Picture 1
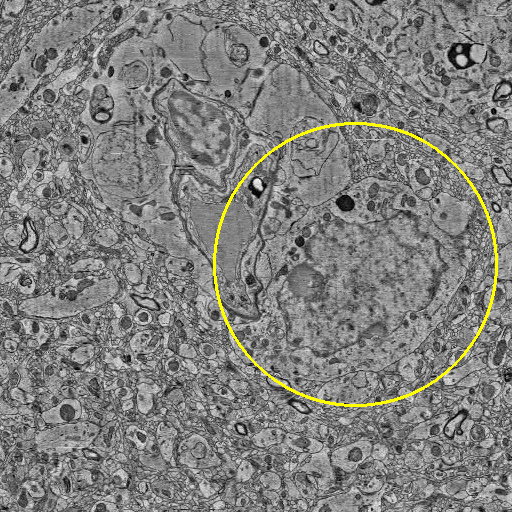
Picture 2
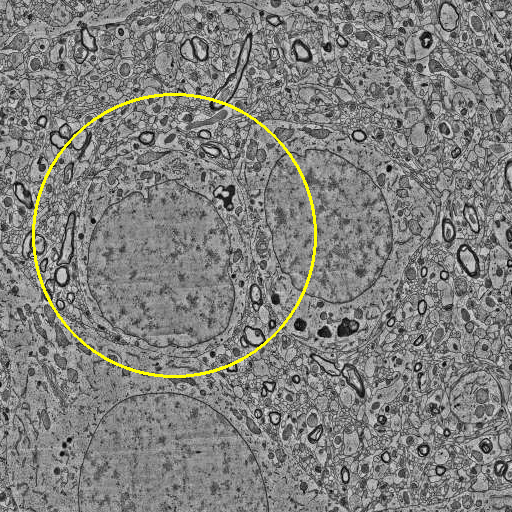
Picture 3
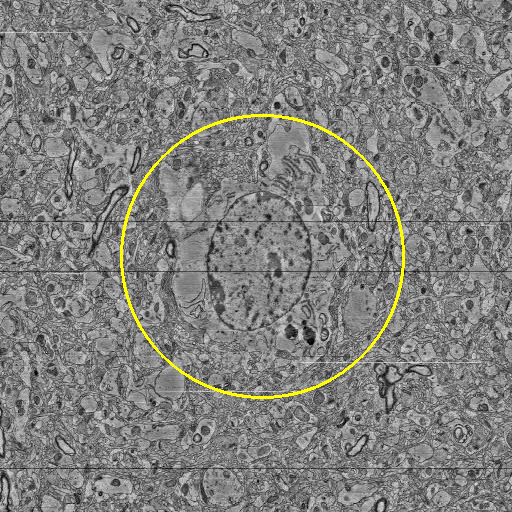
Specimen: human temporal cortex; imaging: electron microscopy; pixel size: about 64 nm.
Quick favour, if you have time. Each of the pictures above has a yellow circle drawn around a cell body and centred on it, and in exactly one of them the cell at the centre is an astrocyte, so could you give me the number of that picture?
3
